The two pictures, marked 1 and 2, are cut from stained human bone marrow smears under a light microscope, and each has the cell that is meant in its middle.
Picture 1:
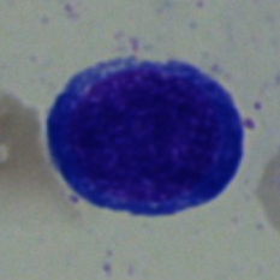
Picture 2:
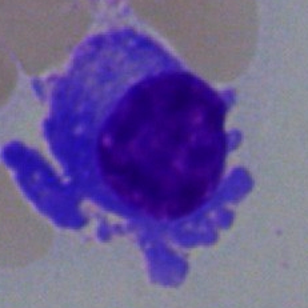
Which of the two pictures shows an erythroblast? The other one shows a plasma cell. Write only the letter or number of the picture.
1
